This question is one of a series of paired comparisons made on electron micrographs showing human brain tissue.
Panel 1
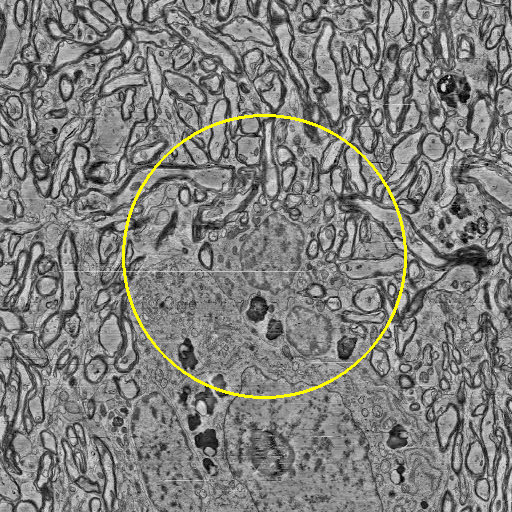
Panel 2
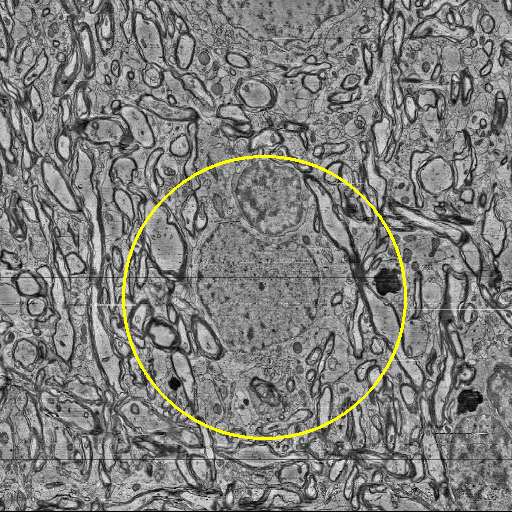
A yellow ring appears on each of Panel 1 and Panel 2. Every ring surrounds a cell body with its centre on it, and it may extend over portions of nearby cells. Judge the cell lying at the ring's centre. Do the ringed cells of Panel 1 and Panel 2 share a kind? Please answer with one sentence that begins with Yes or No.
No, the ring-centre cell in Panel 1 and the one in Panel 2 are of two kinds.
